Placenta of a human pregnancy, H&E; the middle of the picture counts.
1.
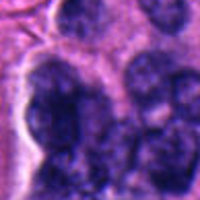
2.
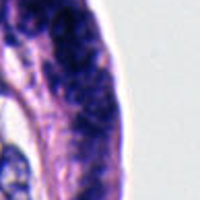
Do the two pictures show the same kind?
Yes, both are syncytial knots.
